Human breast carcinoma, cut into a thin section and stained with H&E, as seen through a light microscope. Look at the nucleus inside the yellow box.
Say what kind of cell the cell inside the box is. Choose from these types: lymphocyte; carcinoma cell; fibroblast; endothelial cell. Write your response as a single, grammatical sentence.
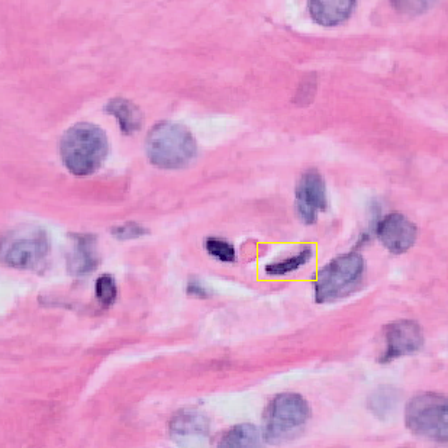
In the tissue under study, the cell inside the box is an endothelial cell.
